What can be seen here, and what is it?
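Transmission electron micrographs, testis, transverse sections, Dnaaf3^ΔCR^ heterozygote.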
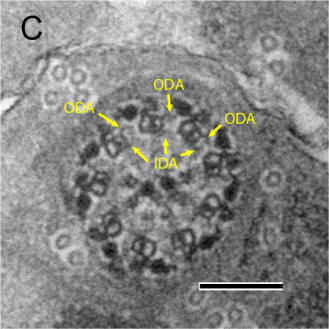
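This is a cross-section through a sperm flagellum, showing its axoneme cut straight across. Small dark arms project from the doublets, those on the outer side and those on the inner side marked by the labelled arrows. The axoneme lies in a rim of cytoplasm bounded by a membrane, and many small ring-shaped microtubule profiles are seen in the surrounding cytoplasm.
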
